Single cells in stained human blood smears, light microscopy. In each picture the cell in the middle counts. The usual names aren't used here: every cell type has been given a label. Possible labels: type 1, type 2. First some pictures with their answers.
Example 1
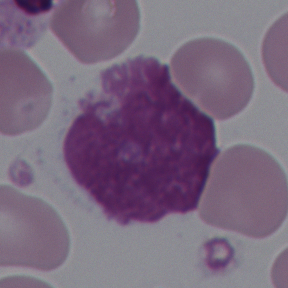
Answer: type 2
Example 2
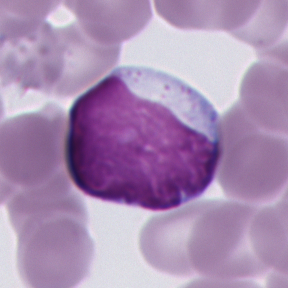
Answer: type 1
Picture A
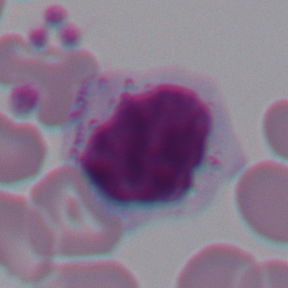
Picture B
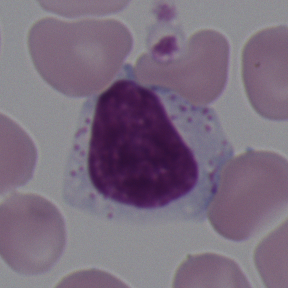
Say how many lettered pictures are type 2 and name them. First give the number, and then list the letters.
0, none of them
